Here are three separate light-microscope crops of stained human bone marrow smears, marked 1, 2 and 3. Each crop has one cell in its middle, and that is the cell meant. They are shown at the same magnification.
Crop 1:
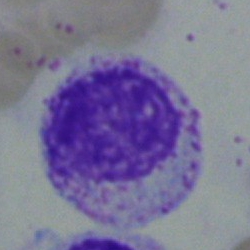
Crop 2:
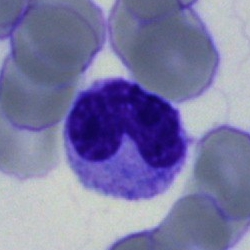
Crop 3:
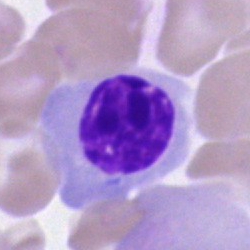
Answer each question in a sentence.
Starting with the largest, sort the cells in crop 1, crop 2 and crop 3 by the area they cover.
Largest first: 1, 2, 3.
